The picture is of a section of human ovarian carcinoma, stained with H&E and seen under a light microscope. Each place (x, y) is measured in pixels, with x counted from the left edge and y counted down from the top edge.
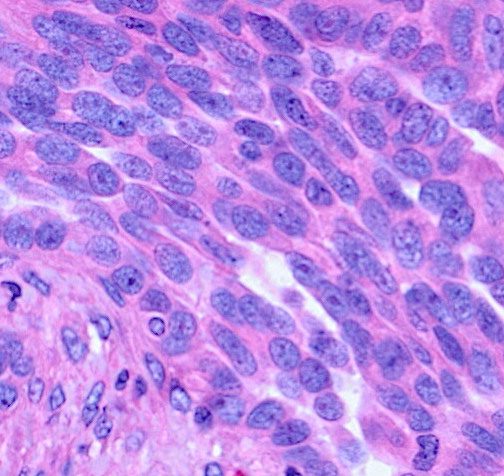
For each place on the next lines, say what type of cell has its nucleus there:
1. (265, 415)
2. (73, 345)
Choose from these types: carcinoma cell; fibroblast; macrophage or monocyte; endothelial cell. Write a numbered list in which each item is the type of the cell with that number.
1. carcinoma cell
2. fibroblast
